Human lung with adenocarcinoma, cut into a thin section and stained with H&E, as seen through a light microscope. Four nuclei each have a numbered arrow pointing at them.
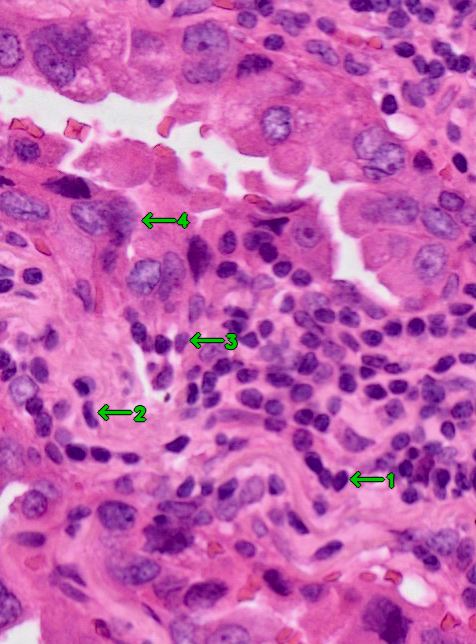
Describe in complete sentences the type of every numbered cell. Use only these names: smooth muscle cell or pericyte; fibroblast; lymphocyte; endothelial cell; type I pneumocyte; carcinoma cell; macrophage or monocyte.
Cells 1, 2 and 3 are lymphocytes. Cell 4 is a carcinoma cell.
